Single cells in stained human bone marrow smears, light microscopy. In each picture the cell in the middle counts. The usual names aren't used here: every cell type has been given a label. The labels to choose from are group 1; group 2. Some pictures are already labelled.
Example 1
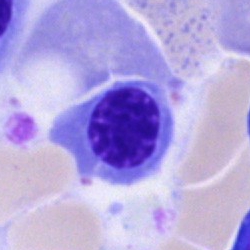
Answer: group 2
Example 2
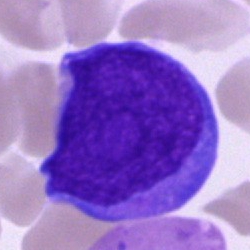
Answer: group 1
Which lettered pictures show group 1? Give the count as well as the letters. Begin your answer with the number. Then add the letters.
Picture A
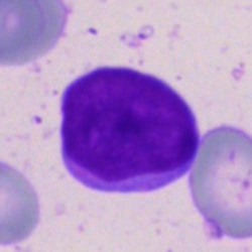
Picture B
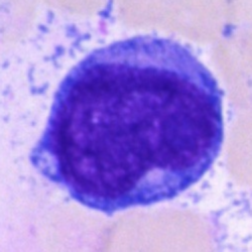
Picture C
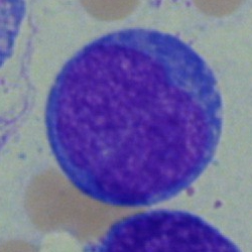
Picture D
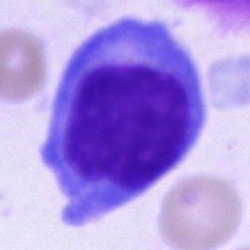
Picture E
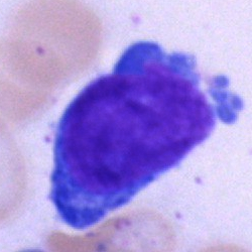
5, namely A, B, C, D, E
